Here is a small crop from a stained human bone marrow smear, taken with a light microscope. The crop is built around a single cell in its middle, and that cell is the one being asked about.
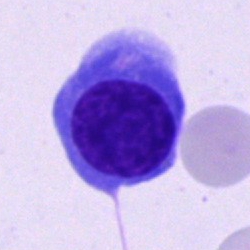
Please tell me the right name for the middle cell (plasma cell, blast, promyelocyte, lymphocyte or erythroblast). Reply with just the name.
plasma cell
